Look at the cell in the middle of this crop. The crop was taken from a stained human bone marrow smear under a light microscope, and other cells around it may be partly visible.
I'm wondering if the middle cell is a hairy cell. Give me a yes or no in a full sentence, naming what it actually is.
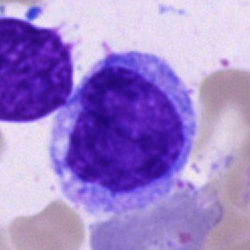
No, in this crop the middle cell is a monocyte, not a hairy cell.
